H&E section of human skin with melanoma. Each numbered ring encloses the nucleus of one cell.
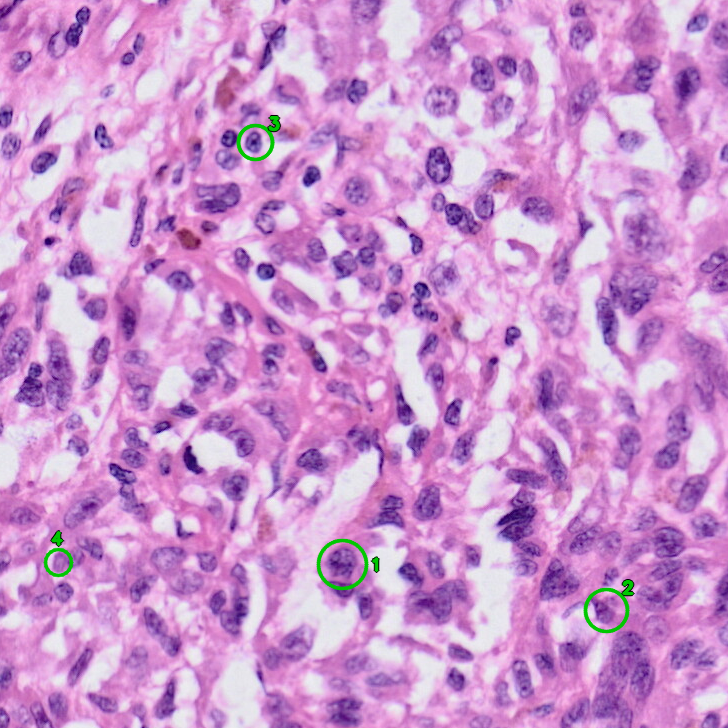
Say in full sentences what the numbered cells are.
Cells 1, 2 and 4 are melanoma cells. Cell 3 is a lymphocyte.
